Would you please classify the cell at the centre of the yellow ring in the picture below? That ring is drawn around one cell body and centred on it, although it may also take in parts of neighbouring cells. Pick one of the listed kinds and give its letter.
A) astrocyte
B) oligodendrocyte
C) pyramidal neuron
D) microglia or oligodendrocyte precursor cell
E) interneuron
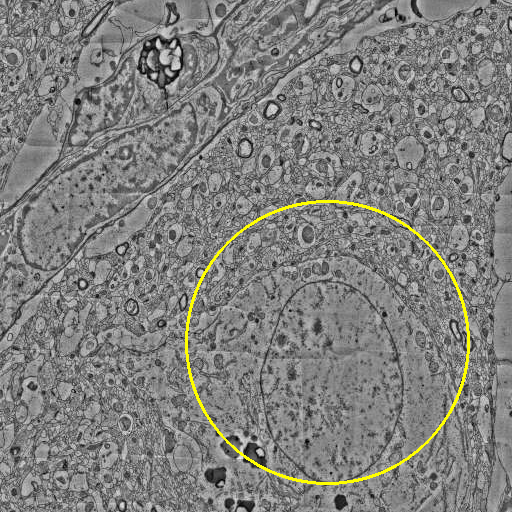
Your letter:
C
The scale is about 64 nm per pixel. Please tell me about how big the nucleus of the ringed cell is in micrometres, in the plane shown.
In this plane, the nucleus is roughly 13 by 9 micrometres.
